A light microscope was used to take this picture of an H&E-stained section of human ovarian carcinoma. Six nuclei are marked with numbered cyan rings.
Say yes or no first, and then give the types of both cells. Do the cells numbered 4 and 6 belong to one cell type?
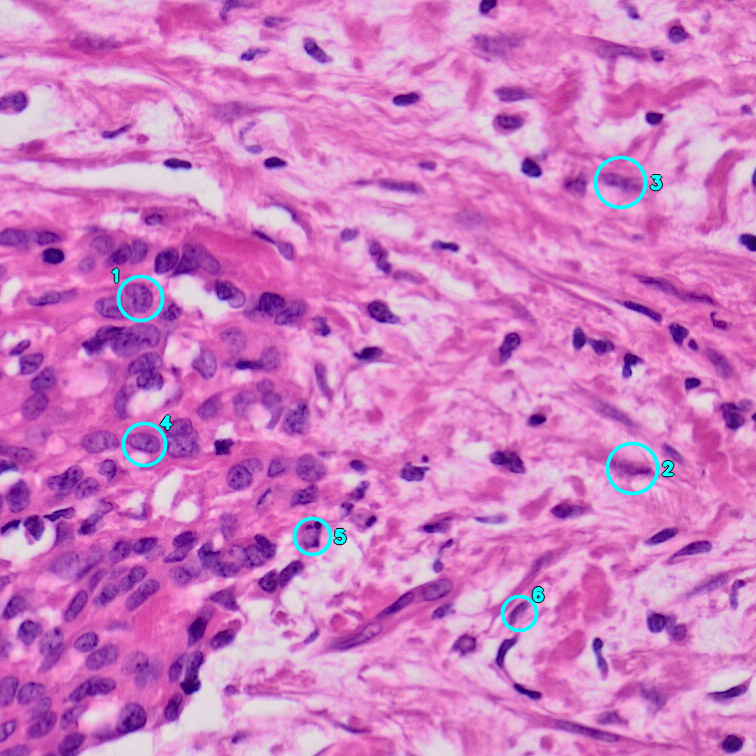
No, cell 4 is a carcinoma cell and cell 6 is a fibroblast.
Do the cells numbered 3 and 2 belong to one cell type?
Yes, both are fibroblasts.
